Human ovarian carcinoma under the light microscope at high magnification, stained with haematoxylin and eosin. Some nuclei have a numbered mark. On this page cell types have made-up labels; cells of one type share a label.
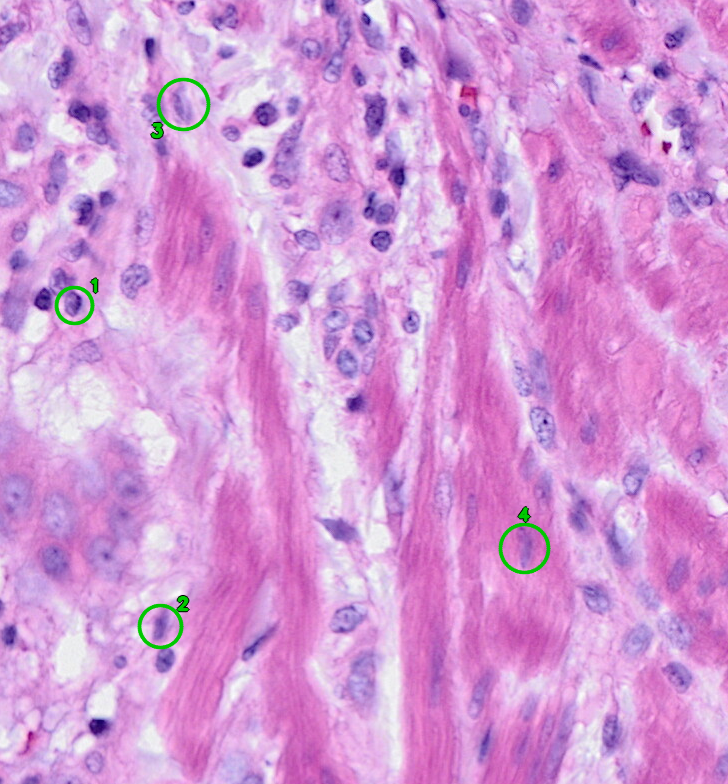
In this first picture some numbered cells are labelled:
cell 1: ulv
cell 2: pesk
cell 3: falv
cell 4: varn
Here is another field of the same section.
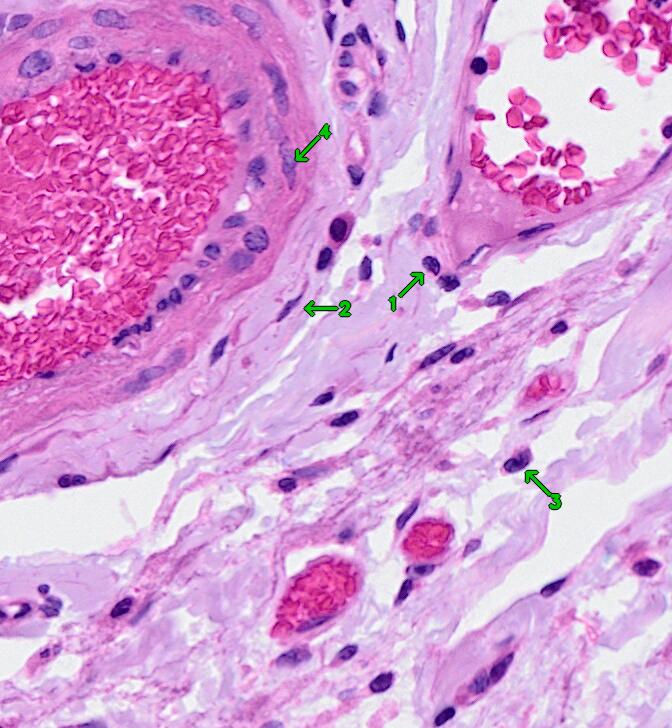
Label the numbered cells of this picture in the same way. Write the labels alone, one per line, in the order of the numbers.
ulv
falv
pesk
varn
